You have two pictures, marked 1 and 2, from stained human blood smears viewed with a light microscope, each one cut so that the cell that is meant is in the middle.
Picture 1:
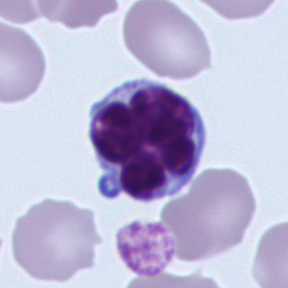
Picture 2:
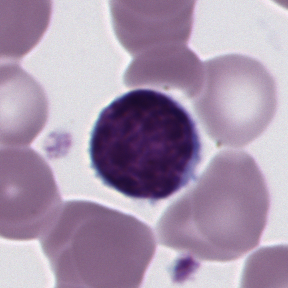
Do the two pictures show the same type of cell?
yes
